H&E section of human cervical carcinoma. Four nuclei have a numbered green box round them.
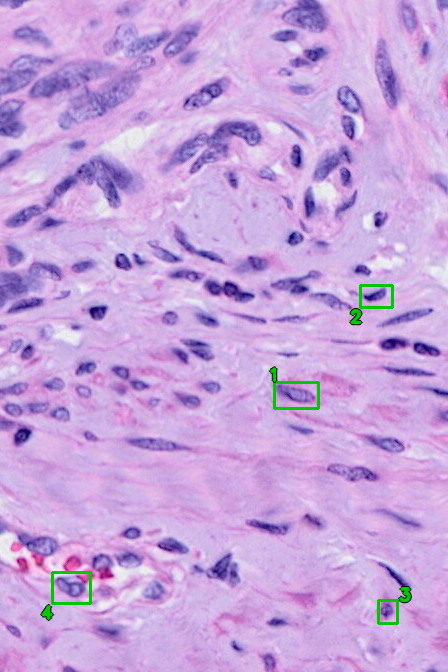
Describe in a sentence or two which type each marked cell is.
Cell 1 is a smooth muscle cell, cell 2 is a fibroblast, cell 3 is a smooth muscle cell and cell 4 is an endothelial cell.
